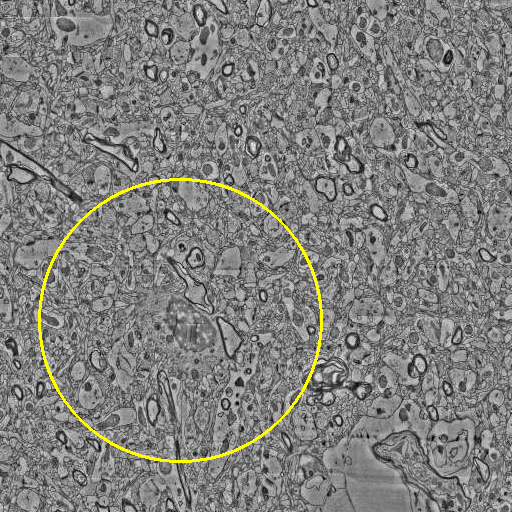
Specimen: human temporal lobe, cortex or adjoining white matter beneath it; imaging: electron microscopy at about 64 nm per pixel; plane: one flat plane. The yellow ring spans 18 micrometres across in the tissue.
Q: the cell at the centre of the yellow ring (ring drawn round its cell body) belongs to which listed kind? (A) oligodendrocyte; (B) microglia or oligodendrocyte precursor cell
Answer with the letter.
A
